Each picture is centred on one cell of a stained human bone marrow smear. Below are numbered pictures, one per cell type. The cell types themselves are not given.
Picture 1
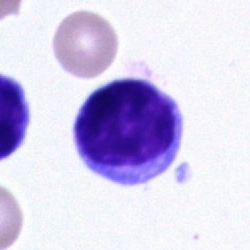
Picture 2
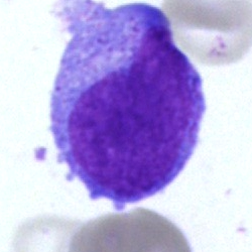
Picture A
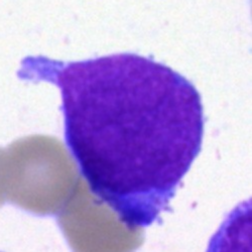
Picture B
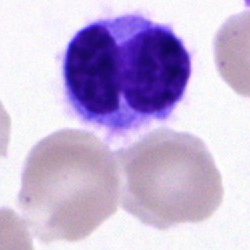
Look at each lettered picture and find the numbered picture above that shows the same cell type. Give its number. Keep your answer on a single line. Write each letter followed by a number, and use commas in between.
A 2, B 1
